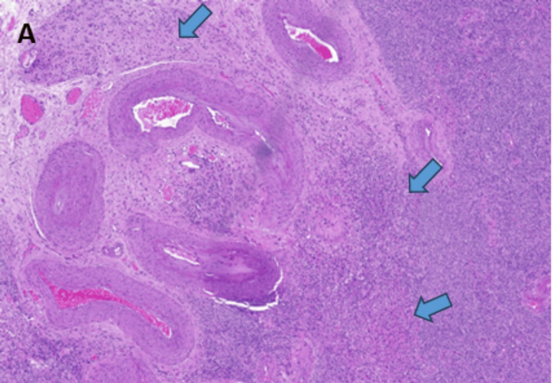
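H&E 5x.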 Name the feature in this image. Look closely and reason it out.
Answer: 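Several thick-walled round and elongated vessels with pink walls. Some lumina contain red blood cells.
Hence: large blood vessels.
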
